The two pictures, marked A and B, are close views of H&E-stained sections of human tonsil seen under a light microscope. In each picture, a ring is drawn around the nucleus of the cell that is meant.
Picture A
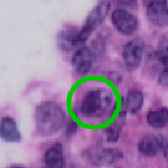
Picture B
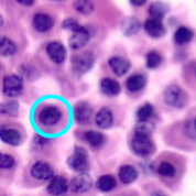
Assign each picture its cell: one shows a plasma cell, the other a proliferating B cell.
A: proliferating B cell
B: plasma cell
